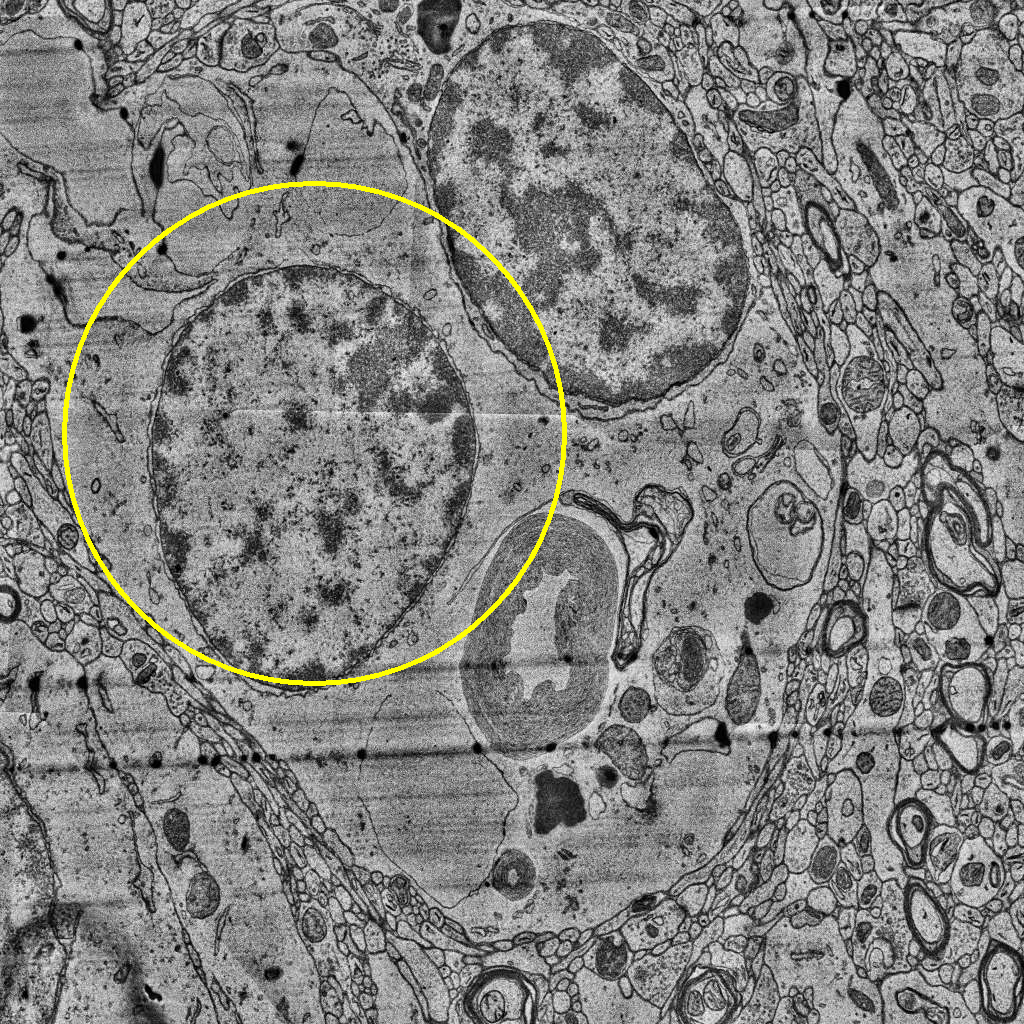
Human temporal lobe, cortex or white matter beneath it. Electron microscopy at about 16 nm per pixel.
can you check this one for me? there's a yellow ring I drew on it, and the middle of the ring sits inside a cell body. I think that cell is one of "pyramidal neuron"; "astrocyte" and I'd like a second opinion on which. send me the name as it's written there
astrocyte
